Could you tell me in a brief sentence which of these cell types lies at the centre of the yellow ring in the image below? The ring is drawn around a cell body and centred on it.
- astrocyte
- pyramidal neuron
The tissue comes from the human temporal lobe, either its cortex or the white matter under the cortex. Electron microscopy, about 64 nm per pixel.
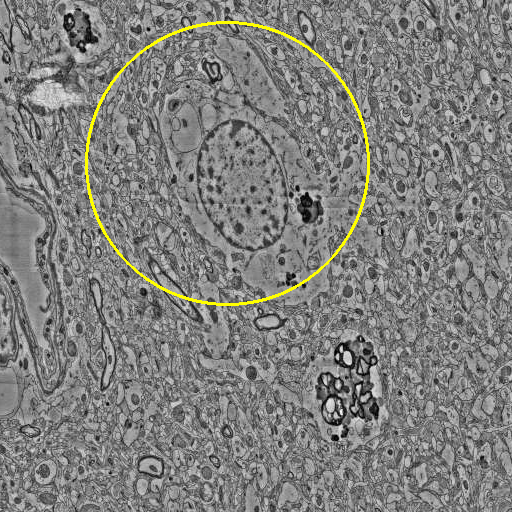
The cell centred in the ring is an astrocyte.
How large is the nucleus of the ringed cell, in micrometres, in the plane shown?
In this plane the nucleus is clearly longer than it is wide: roughly 8 by 6 micrometres.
